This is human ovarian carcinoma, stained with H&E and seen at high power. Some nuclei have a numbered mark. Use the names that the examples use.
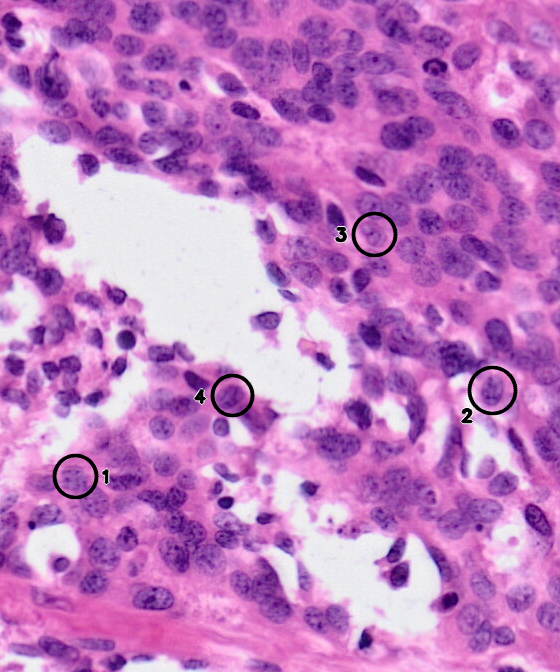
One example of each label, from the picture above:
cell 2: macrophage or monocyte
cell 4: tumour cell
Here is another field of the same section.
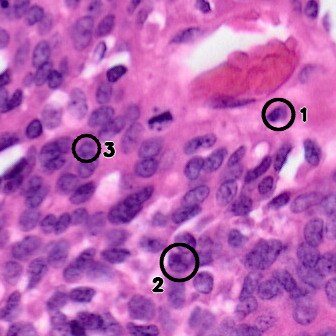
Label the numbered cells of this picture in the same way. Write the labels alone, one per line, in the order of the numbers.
macrophage or monocyte
tumour cell
tumour cell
